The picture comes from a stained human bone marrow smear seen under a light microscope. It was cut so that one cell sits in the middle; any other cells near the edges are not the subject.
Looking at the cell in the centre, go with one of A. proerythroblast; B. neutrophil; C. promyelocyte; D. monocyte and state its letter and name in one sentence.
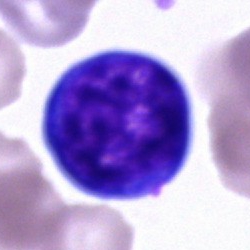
The central cell of the crop is a proerythroblast, which makes A the correct option.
